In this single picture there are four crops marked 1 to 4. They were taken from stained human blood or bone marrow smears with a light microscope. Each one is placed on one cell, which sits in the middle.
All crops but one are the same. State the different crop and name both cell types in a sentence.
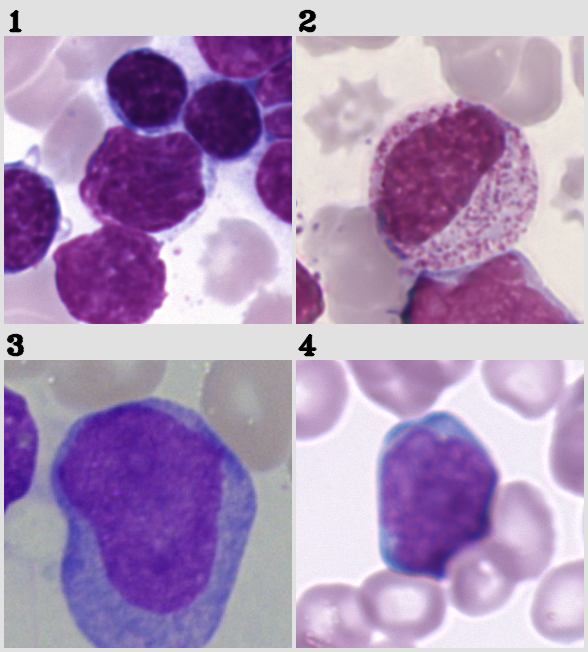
A different cell type, a myelocyte, occupies crop 2; the other crops show blasts.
